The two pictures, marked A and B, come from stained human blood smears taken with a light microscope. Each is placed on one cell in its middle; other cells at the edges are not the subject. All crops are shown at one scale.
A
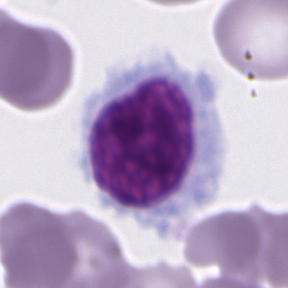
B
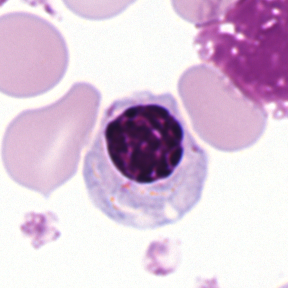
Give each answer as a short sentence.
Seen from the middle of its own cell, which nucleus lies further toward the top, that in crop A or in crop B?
The nucleus in crop B lies further toward the top of its cell.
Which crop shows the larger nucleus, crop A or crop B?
It is the nucleus in crop A, about 2 times as large in area as the one in crop B.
